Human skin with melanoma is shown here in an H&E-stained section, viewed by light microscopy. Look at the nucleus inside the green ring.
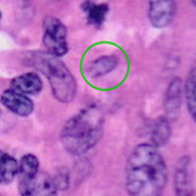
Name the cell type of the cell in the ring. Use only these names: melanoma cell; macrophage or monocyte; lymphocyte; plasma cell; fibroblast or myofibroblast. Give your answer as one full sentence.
At the level of cell identity, the cell in the ring is a macrophage or monocyte.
